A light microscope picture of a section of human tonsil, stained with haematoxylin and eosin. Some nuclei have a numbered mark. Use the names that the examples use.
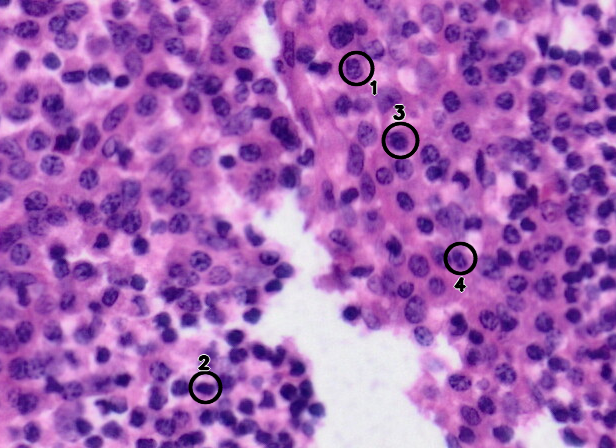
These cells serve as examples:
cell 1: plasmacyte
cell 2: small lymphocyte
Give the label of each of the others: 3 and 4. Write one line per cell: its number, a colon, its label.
3: plasmacyte
4: plasmacyte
